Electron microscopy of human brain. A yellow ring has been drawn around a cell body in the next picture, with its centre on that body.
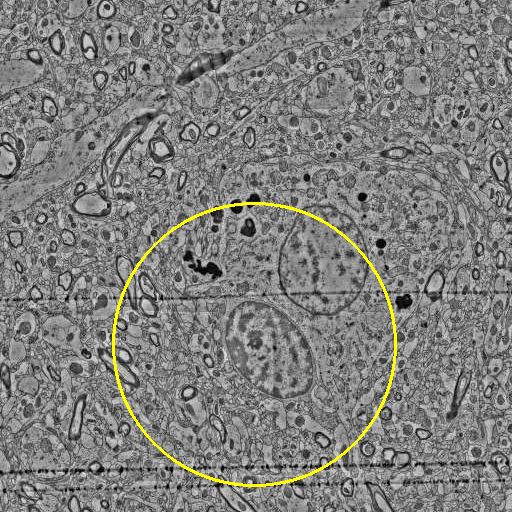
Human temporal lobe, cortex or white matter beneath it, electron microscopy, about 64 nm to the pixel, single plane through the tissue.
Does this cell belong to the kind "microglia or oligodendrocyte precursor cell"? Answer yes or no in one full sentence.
No, the ringed cell in this picture, sitting at the ring's centre, is of another kind.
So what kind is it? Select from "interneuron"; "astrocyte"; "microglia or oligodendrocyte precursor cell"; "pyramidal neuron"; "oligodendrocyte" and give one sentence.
So the cell at the centre is an oligodendrocyte.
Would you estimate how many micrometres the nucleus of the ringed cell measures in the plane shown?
The nucleus comes to approximately 7 by 5 micrometres and is clearly longer than it is wide in this plane.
